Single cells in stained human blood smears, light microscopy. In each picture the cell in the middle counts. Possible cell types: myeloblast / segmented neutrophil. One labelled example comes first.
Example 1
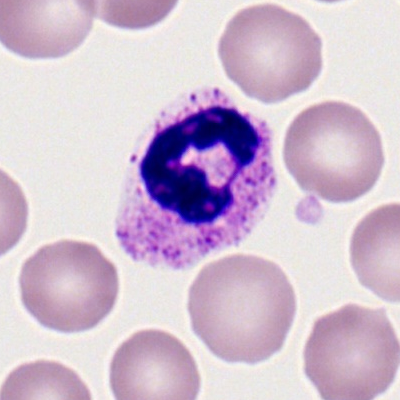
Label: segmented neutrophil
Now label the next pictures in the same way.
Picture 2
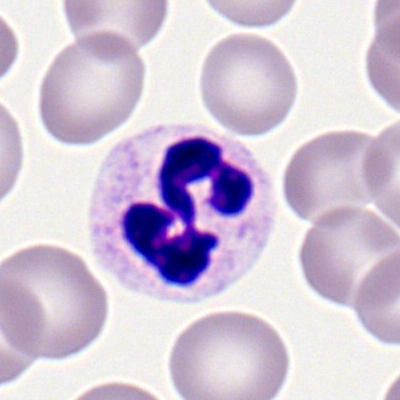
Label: segmented neutrophil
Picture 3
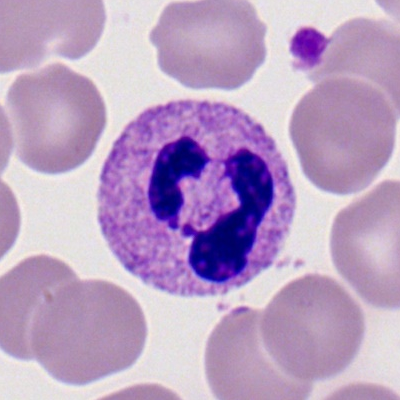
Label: segmented neutrophil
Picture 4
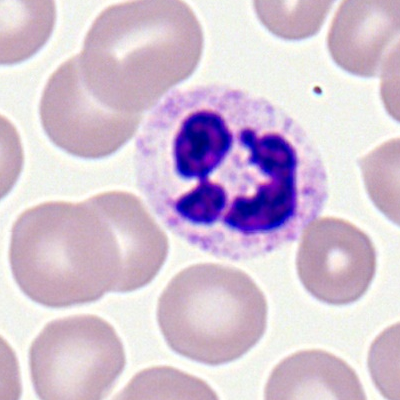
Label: segmented neutrophil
